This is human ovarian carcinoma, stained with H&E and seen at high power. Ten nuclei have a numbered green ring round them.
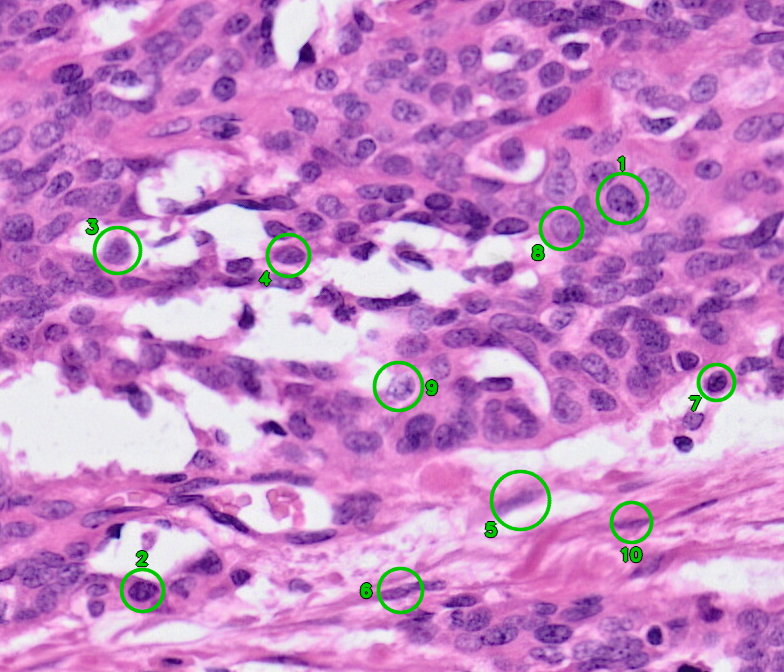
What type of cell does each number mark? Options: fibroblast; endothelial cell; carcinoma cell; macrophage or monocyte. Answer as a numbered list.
1. carcinoma cell
2. carcinoma cell
3. carcinoma cell
4. carcinoma cell
5. fibroblast
6. fibroblast
7. macrophage or monocyte
8. carcinoma cell
9. macrophage or monocyte
10. fibroblast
